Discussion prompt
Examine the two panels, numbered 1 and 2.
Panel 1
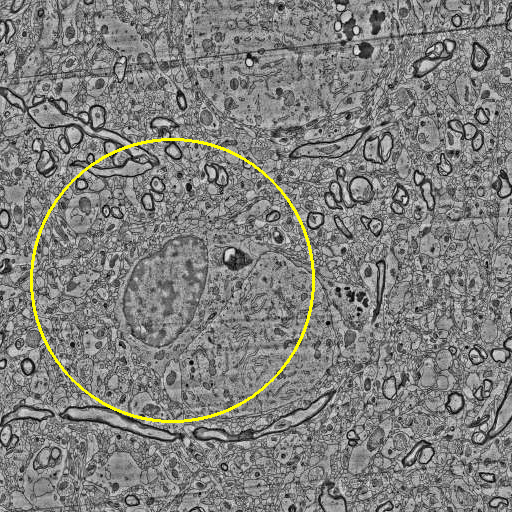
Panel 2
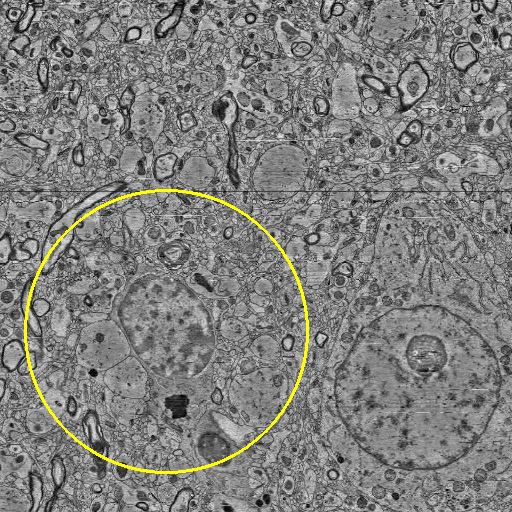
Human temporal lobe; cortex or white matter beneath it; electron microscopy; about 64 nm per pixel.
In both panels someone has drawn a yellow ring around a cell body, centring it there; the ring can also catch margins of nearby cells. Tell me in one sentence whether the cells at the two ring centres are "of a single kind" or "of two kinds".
Taken together, the two cells centred in the rings of Panels 1 and 2 are of a single kind.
